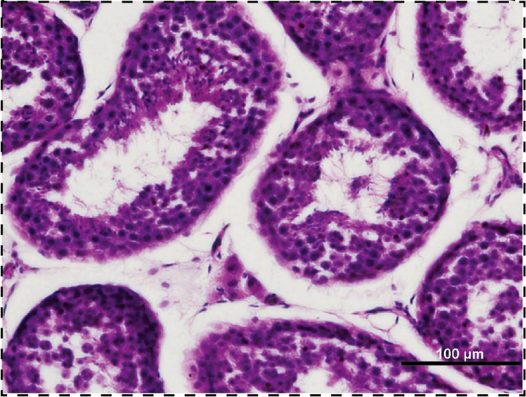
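Cross-sections of seminiferous tubules are separated by thin strands of pale interstitial connective tissue. Each tubule is lined by a thick, stratified epithelium of closely packed cells with round purple nuclei and pink cytoplasm, arranged in layers from the basal wall towards a central lumen that contains fine pink fibrillar material.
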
